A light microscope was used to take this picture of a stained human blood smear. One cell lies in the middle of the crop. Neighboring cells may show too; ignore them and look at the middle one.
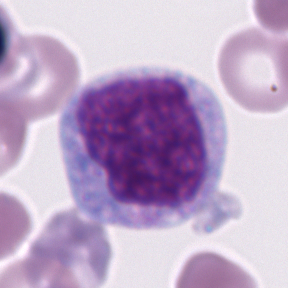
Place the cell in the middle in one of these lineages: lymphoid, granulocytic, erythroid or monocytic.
monocytic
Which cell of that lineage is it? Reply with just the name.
monocyte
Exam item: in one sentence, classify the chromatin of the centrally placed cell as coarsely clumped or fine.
There is no coarse clumping; the chromatin stays fine throughout.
